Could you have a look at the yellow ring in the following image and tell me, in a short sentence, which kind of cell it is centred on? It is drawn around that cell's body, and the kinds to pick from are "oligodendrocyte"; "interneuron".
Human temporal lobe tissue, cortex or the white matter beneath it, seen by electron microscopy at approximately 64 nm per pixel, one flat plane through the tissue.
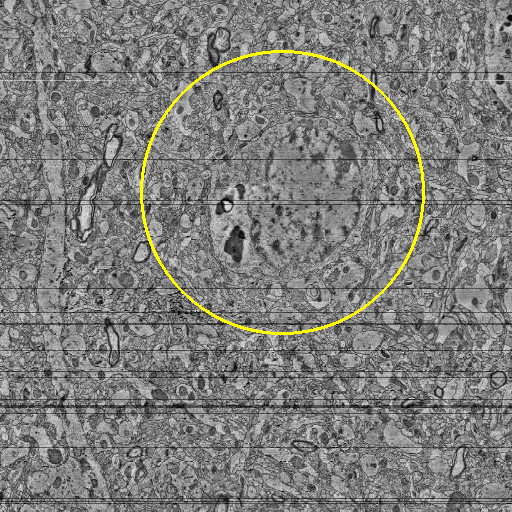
The ring is centred on the body of an interneuron.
